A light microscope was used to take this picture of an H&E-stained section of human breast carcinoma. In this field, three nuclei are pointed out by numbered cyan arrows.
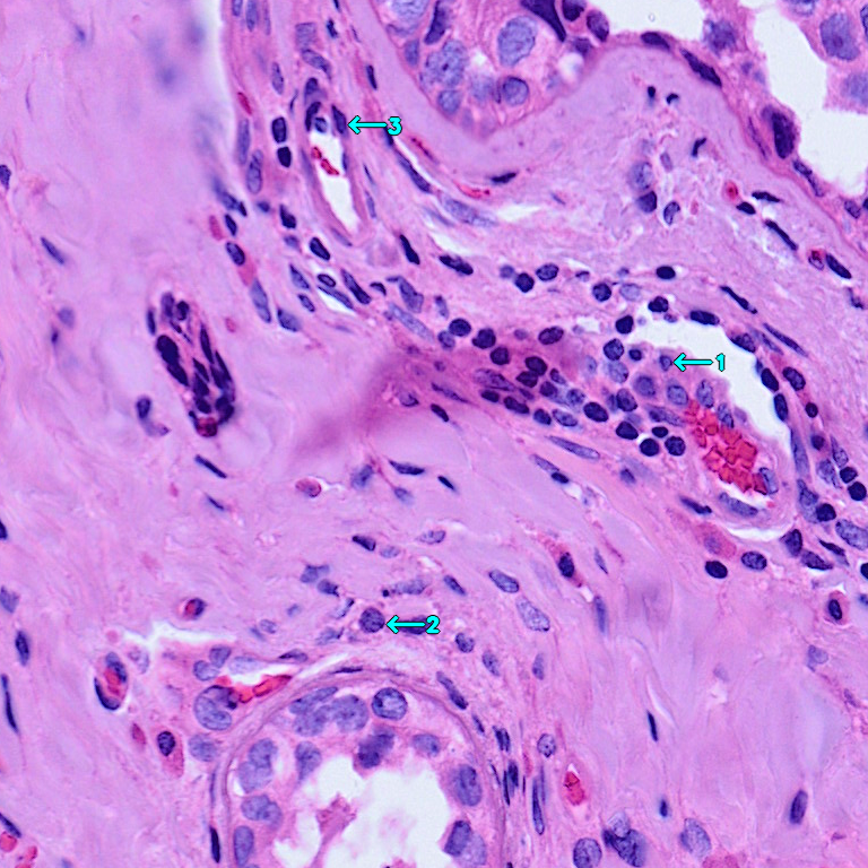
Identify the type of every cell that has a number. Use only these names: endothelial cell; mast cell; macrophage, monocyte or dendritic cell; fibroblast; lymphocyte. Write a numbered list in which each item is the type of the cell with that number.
1. endothelial cell
2. macrophage, monocyte or dendritic cell
3. endothelial cell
